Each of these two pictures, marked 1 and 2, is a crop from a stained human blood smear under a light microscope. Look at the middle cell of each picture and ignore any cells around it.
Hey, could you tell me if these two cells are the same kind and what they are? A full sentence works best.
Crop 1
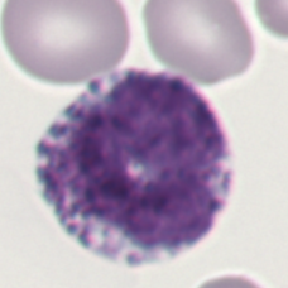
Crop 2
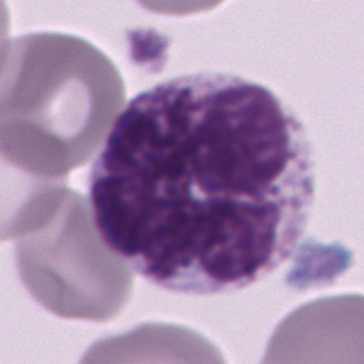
Yes, as for both crops, the cells shown are basophils.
